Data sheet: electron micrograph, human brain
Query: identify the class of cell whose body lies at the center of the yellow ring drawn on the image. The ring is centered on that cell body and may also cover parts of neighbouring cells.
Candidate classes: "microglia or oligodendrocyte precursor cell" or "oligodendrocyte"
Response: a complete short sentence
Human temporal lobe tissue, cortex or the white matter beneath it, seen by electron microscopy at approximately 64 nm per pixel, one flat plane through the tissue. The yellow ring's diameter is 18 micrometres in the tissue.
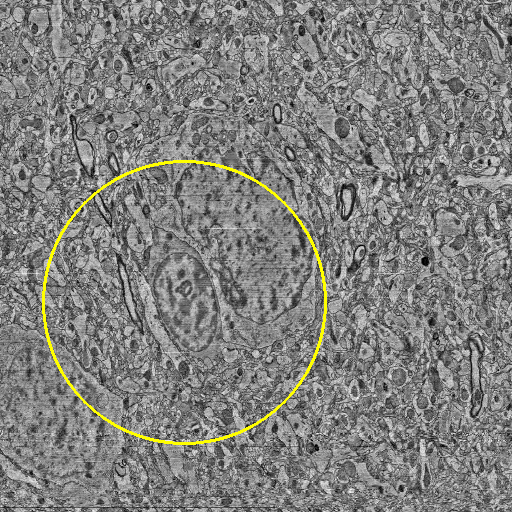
At the center of the ring lies an oligodendrocyte.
